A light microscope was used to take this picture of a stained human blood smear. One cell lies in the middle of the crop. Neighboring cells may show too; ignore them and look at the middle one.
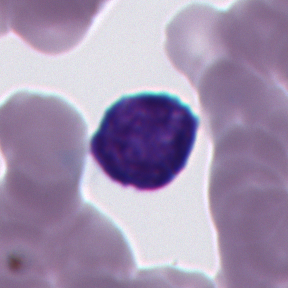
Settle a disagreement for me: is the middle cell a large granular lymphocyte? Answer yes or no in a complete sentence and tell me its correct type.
No, the central cell qualifies as a typical lymphocyte rather than as a large granular lymphocyte.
